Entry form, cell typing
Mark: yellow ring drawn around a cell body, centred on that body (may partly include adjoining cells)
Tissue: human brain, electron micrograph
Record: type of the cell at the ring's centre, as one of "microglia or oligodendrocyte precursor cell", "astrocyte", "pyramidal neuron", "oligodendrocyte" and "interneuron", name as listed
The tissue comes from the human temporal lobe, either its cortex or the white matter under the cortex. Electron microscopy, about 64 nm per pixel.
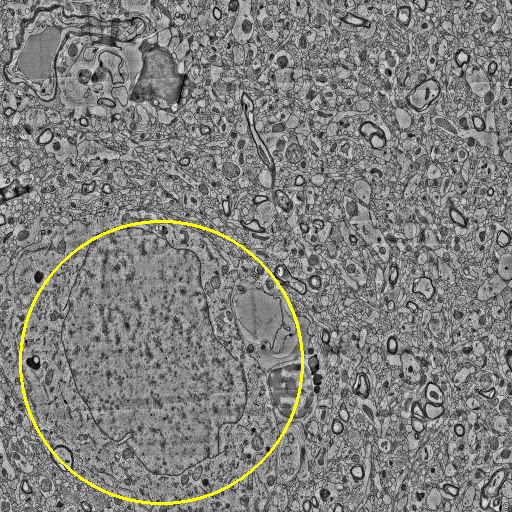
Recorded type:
pyramidal neuron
